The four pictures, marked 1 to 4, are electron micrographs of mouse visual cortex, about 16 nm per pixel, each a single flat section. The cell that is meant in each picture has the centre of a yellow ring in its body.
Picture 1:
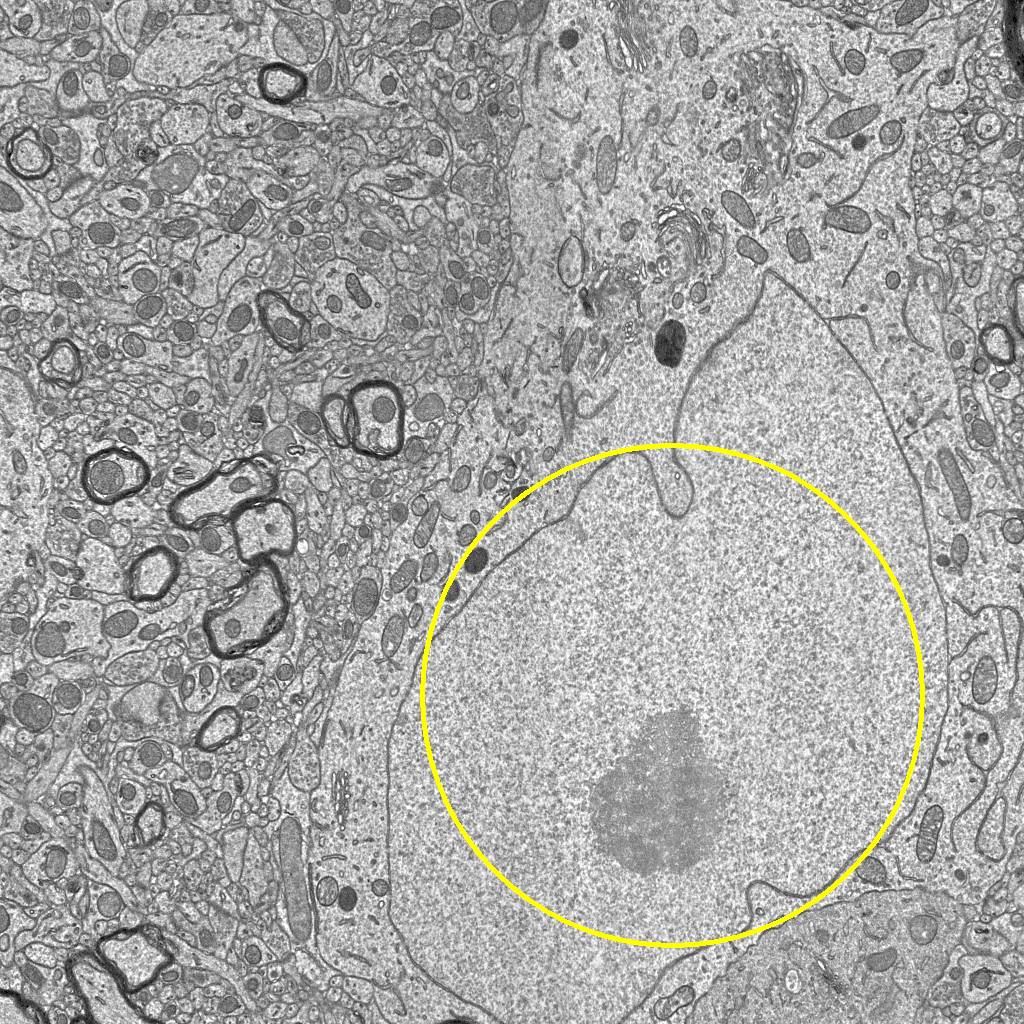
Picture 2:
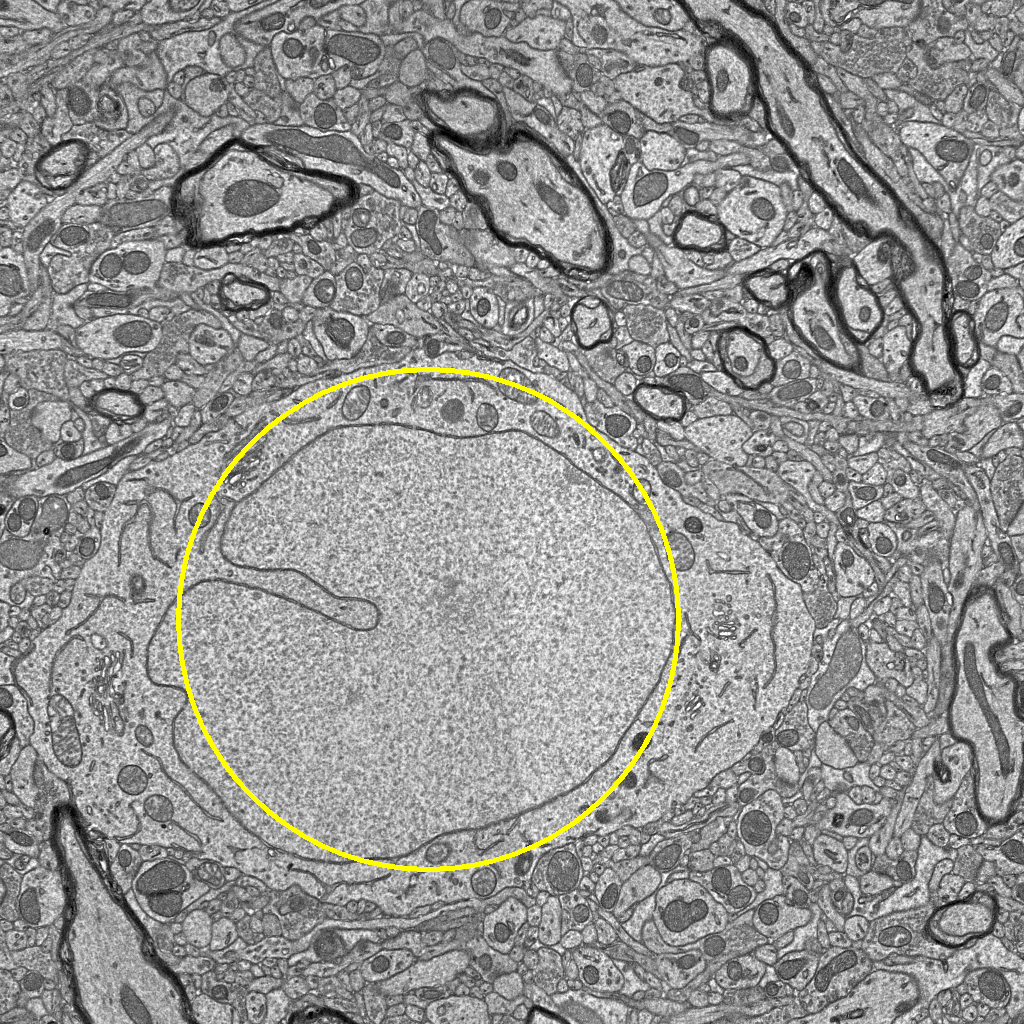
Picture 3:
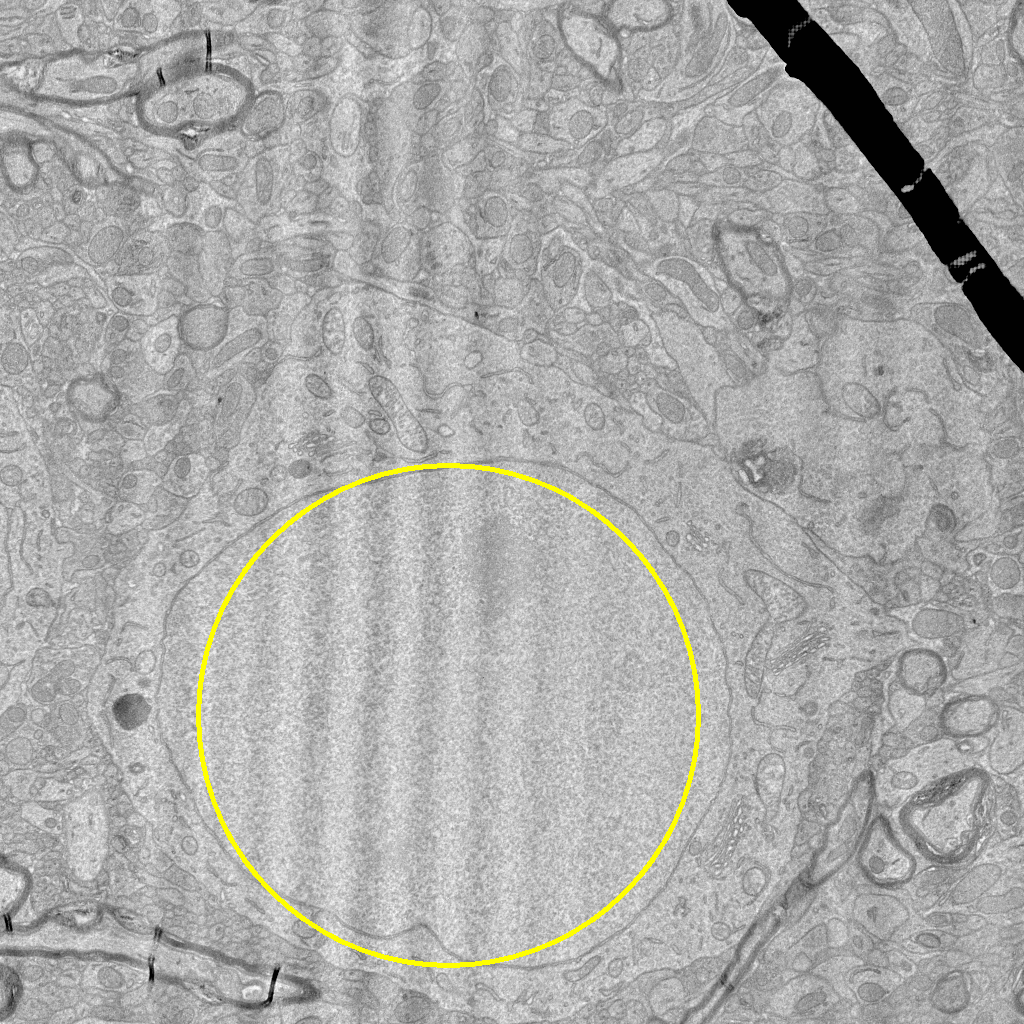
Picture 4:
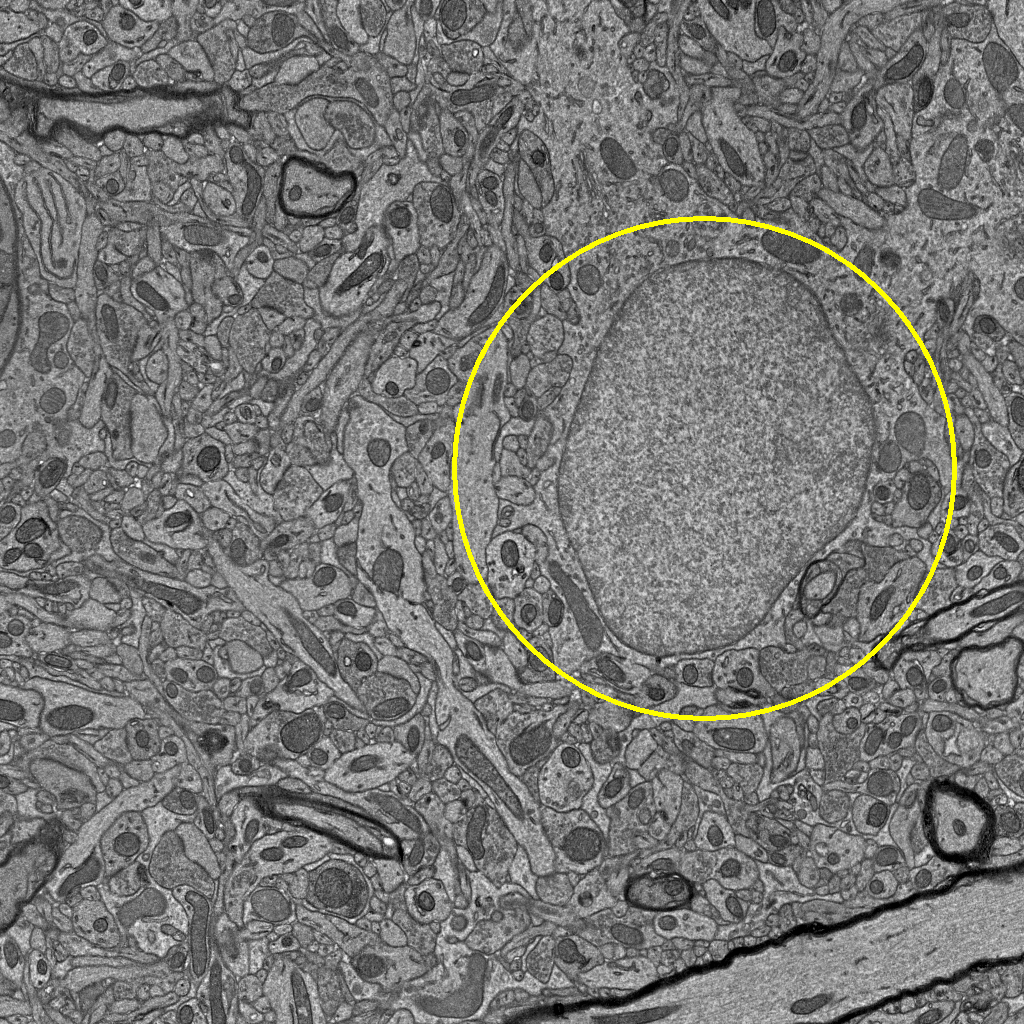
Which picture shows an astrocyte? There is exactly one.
Picture 4 is the one that shows the astrocyte.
